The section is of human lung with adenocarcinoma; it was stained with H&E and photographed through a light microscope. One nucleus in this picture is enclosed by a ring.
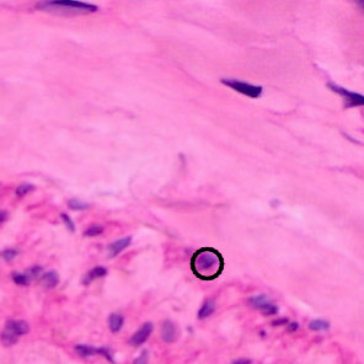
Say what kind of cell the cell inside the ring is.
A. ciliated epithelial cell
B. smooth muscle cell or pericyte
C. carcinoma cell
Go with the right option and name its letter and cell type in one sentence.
Option B is the one that fits, as the cell inside the ring is a smooth muscle cell or pericyte.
